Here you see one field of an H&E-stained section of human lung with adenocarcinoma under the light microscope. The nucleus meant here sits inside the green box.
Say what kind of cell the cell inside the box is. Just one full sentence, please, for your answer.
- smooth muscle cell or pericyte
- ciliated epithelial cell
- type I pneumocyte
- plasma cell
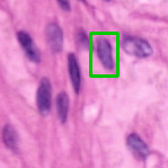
In this section of tissue, the cell inside the box is a smooth muscle cell or pericyte.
